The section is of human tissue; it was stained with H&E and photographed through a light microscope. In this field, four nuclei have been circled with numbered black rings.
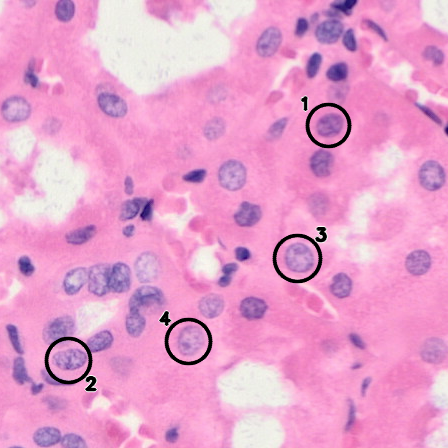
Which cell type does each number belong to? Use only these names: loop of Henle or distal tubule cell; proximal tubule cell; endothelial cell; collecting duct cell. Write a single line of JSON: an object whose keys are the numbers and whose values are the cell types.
{"1": "proximal tubule cell", "2": "collecting duct cell", "3": "proximal tubule cell", "4": "proximal tubule cell"}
